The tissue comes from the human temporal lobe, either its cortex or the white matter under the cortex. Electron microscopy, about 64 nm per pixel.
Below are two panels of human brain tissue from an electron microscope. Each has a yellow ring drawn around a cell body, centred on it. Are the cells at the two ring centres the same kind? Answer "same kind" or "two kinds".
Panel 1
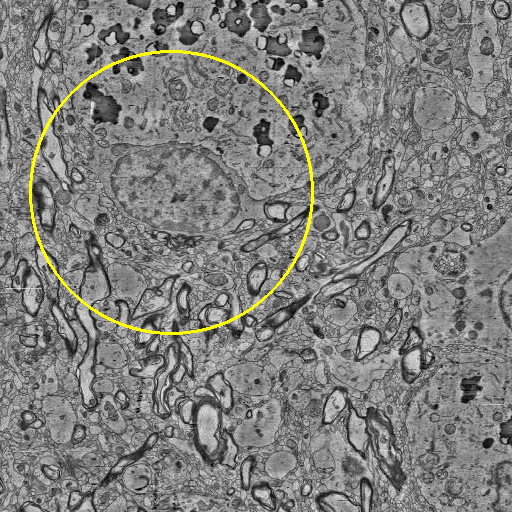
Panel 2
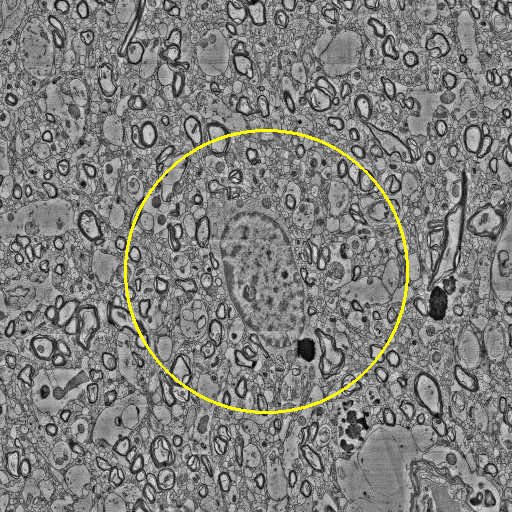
same kind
